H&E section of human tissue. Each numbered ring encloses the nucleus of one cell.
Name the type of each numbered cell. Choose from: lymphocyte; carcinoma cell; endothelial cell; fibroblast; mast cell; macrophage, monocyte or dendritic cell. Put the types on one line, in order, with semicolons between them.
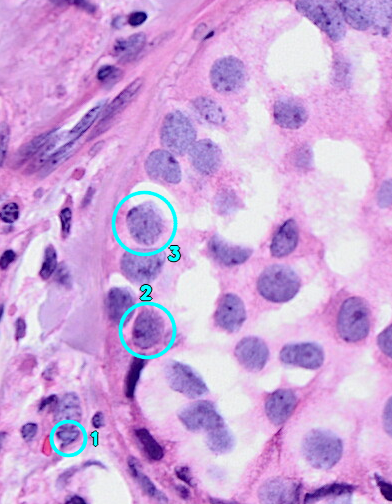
endothelial cell; carcinoma cell; carcinoma cell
